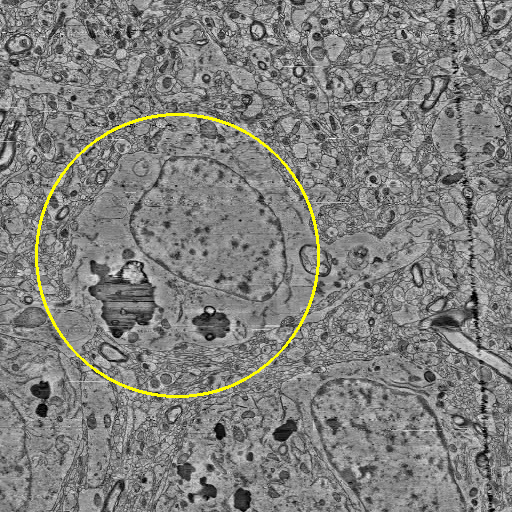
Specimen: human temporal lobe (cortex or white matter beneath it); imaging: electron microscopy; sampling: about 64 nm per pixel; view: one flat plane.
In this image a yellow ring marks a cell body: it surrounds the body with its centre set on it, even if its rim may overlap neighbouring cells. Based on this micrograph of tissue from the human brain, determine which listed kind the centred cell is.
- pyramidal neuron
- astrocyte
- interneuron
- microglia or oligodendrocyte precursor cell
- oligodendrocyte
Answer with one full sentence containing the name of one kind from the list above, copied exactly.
It is an astrocyte whose body the yellow ring encloses at its centre.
